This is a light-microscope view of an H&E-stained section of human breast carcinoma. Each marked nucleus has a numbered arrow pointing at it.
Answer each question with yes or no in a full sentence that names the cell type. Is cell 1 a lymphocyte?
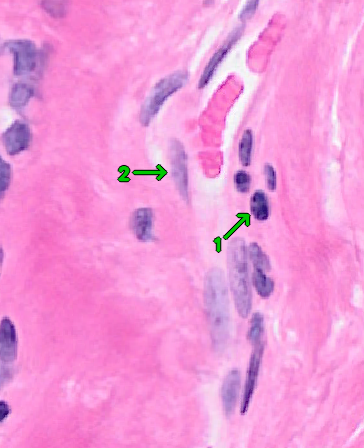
Yes, what number 1 marks is a lymphocyte.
